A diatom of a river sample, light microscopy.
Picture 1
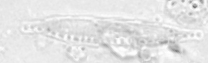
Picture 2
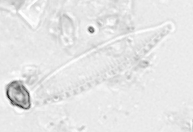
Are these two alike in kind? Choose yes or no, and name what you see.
Yes. Nitzschia.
